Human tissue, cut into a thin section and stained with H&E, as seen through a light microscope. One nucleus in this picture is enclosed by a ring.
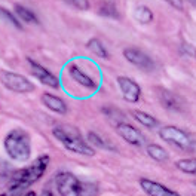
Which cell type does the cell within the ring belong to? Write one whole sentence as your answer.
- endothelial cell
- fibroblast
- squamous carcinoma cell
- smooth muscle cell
It is as a smooth muscle cell that the cell within the ring is classified.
